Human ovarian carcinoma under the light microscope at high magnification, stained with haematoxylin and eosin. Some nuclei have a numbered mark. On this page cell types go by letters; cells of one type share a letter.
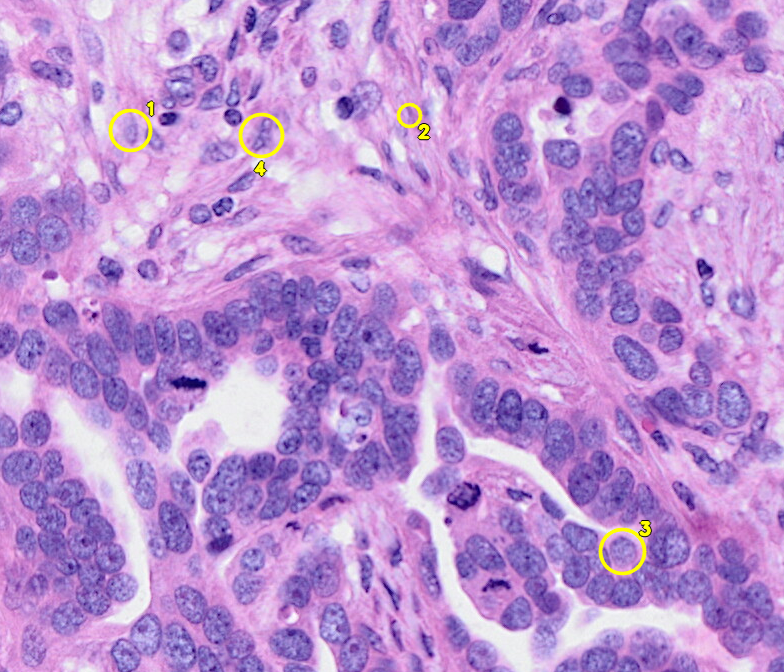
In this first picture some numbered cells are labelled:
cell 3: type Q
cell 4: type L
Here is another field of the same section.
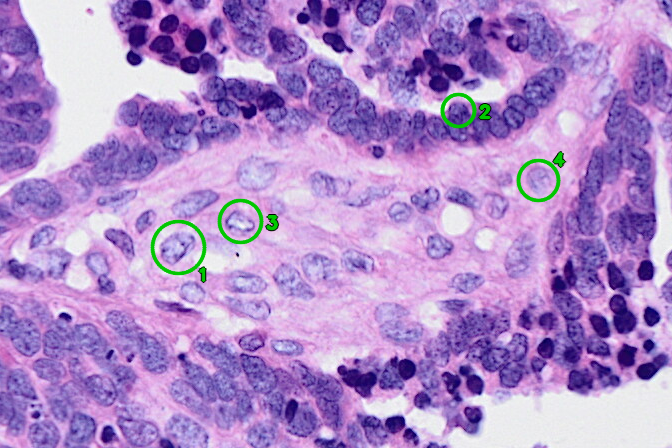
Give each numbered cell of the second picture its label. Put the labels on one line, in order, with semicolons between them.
type L; type Q; type L; type L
